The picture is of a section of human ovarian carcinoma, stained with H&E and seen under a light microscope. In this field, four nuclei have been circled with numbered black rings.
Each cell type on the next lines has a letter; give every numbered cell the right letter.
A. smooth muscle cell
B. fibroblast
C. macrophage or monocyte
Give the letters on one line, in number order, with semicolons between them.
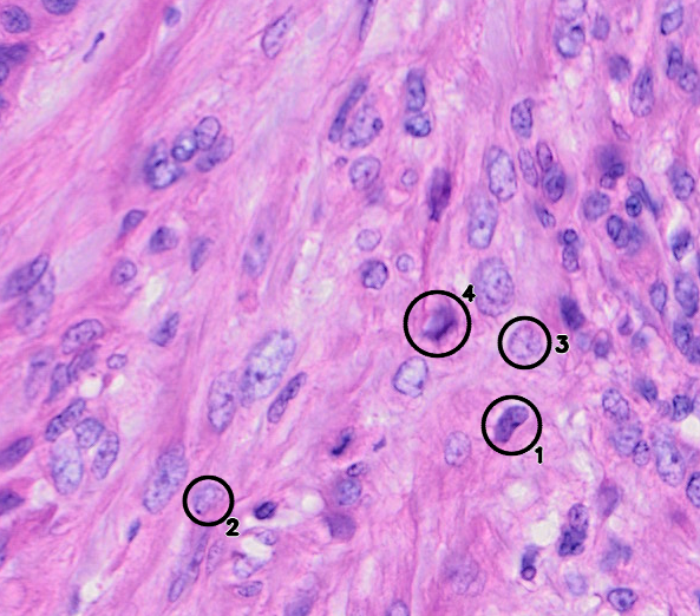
C; B; B; B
